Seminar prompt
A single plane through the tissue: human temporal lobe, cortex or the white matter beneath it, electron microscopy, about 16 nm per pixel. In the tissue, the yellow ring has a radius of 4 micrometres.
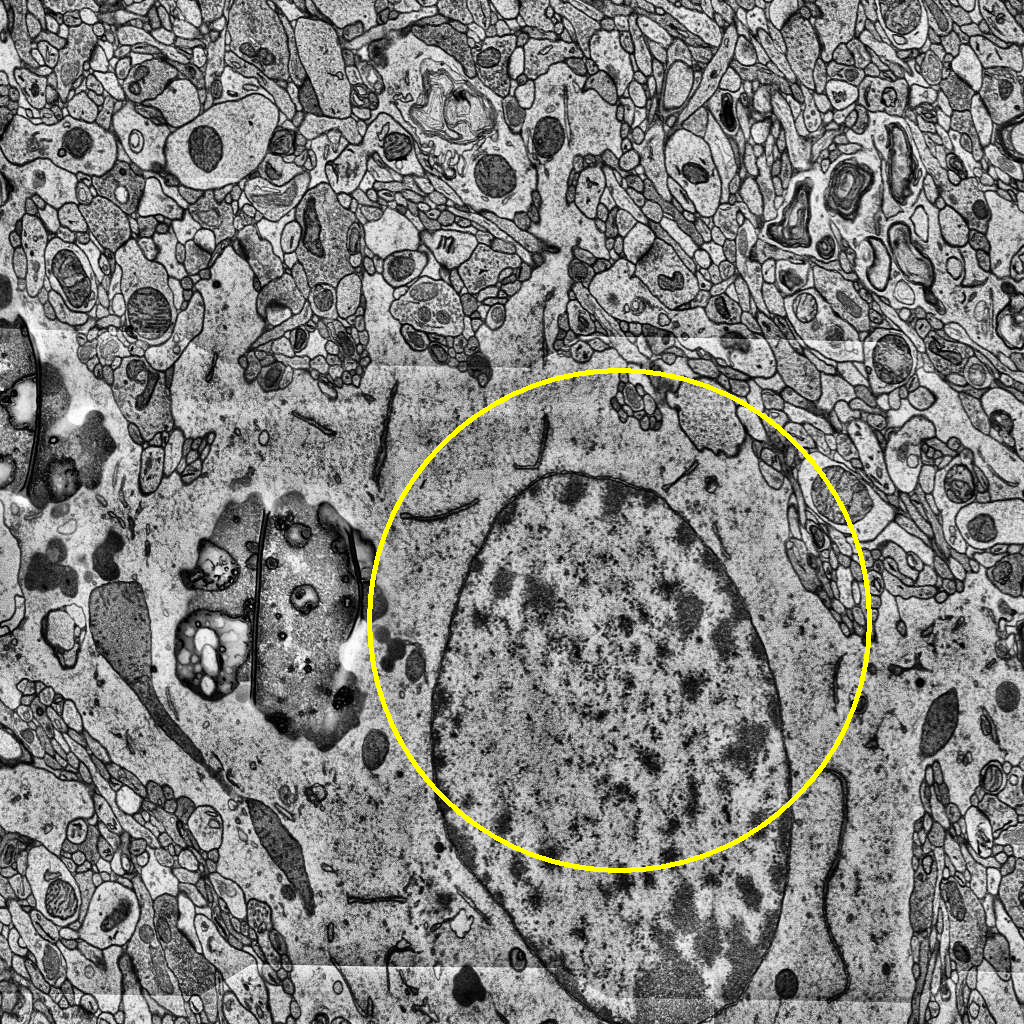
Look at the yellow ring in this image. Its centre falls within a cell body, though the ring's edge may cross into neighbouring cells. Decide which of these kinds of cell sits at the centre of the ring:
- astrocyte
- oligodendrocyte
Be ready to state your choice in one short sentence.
The kind of cell at the ring's centre is an astrocyte.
